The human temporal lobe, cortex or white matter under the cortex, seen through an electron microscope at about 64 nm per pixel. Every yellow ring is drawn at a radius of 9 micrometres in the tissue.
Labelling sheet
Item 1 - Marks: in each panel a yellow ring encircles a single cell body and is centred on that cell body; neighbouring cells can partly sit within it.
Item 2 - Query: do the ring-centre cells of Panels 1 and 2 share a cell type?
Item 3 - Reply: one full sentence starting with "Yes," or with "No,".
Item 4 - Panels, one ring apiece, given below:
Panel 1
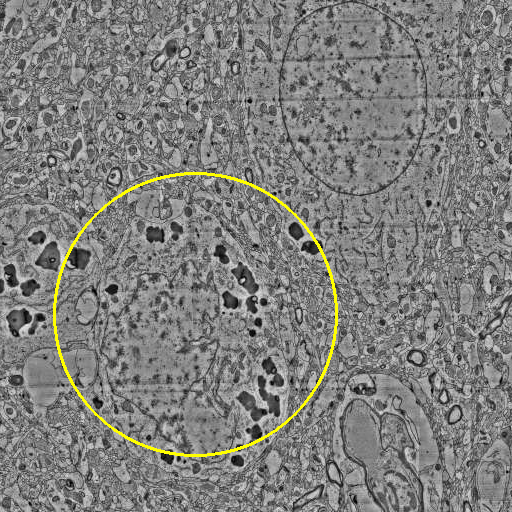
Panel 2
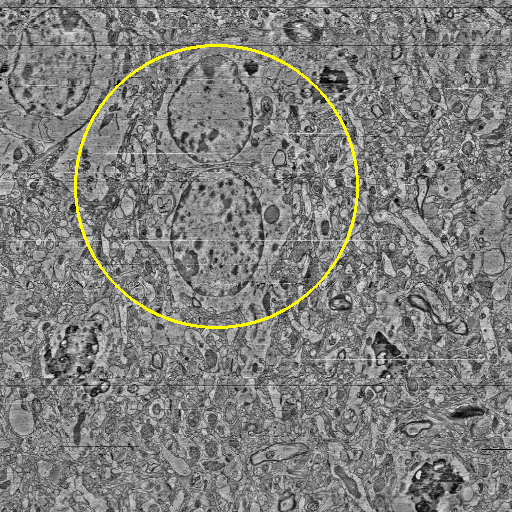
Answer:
No, Panel 1 and Panel 2 show two cell types at the centres of their rings.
